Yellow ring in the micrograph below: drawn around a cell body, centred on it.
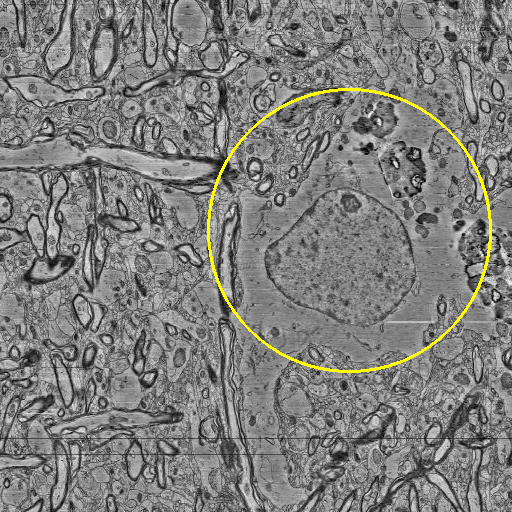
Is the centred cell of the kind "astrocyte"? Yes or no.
yes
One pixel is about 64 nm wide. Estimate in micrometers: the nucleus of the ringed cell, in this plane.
About 9 micrometres across, as seen in this plane.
